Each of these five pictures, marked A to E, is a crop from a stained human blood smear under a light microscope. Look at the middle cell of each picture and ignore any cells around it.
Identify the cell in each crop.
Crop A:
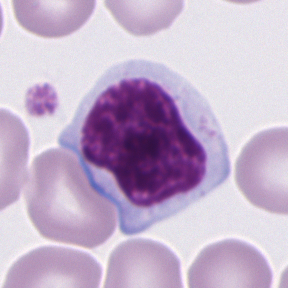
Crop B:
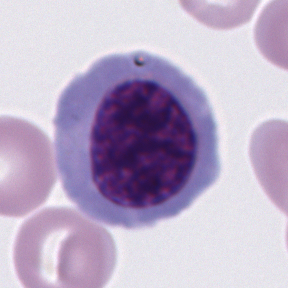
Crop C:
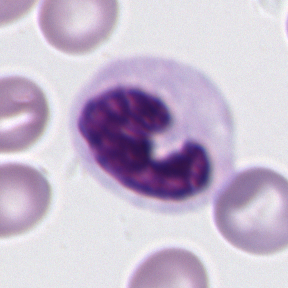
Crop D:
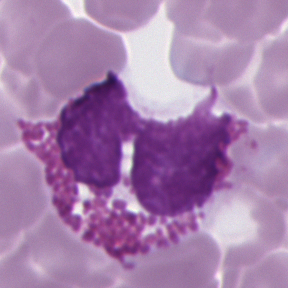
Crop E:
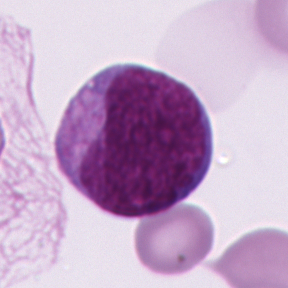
A: large granular lymphocyte
B: normoblast
C: band neutrophil
D: eosinophil
E: myeloblast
